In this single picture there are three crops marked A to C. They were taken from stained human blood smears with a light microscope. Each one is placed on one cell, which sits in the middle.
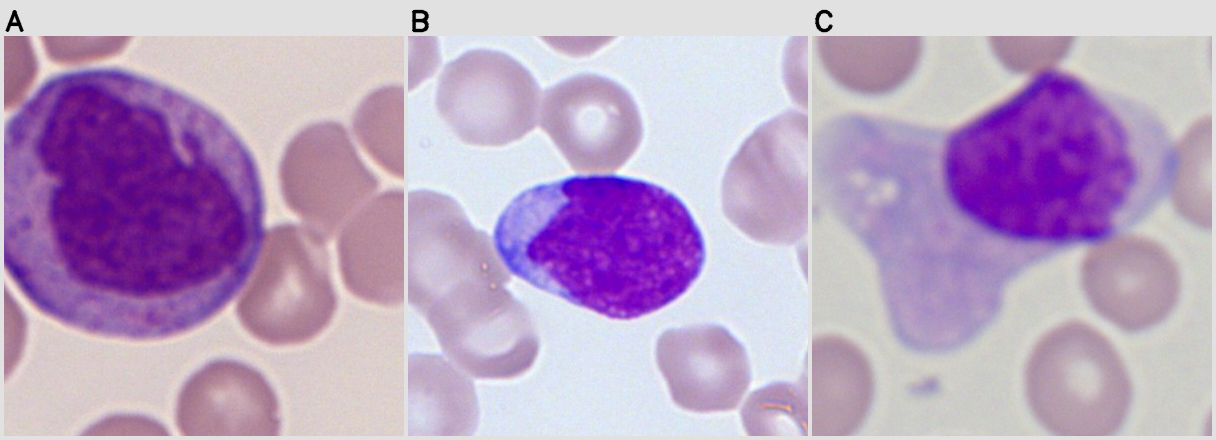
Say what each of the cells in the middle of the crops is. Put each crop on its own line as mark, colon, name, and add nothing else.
A: monocyte
B: myeloblast
C: monocyte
